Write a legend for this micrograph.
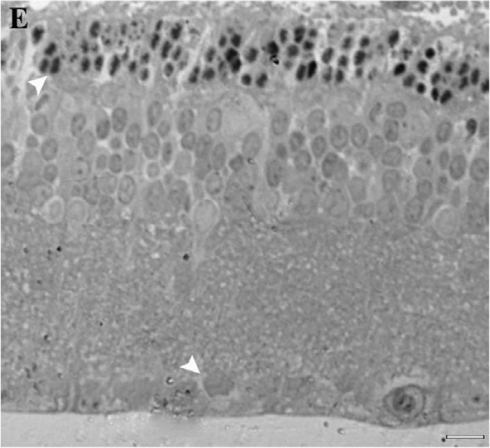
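Full-thickness retina in grey transmitted light. The outer nuclear layer is thin, only a few rows deep, and its nuclei are small, very dark and condensed, unlike the rest of the retina. Beneath it the inner nuclear layer has larger, paler, oval nuclei with clear outlines in several rows. A broad, finely granular layer without nuclei lies inward. At the inner edge, the ganglion cell layer holds sparse cells, one rounded cell with a visible nucleus at the bottom.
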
